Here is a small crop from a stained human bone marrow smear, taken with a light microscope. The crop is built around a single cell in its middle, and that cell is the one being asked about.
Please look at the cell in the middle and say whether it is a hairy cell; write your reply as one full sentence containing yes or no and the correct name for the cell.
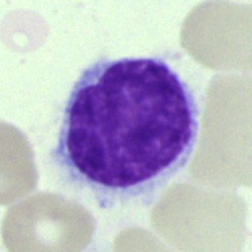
Yes, the cell lying in the centre of the crop is identified as a hairy cell.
